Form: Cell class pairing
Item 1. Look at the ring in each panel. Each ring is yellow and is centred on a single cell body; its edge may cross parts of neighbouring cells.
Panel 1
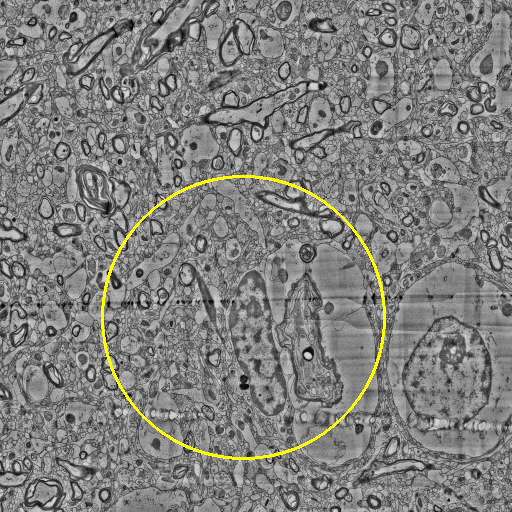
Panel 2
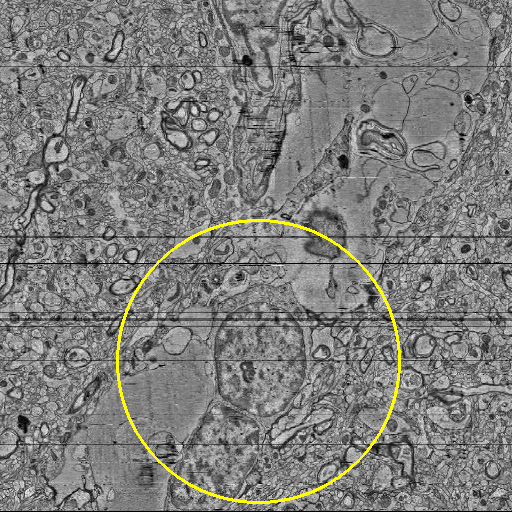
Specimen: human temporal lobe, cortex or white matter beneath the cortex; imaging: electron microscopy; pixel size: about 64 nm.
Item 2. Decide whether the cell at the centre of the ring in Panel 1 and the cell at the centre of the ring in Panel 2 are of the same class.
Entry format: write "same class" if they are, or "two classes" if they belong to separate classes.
two classes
